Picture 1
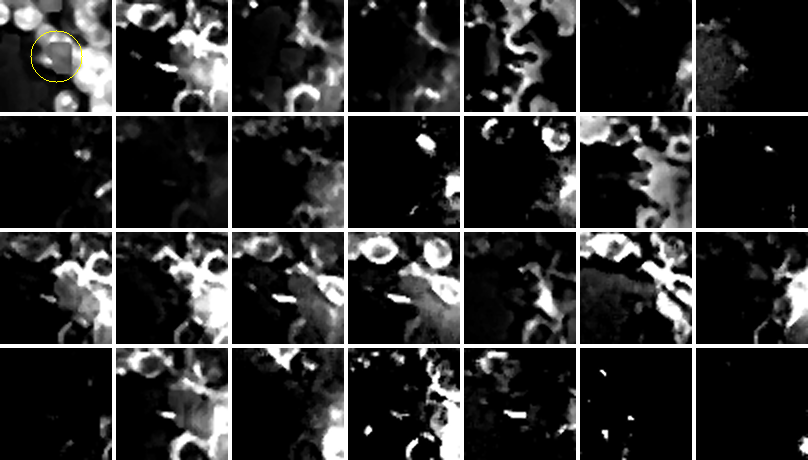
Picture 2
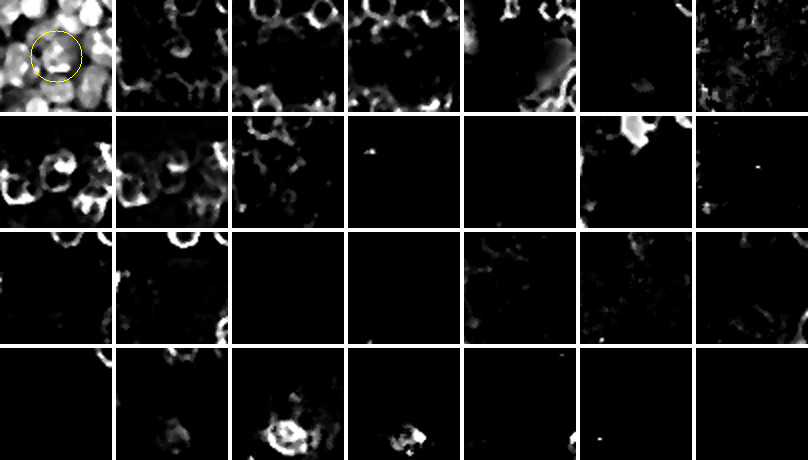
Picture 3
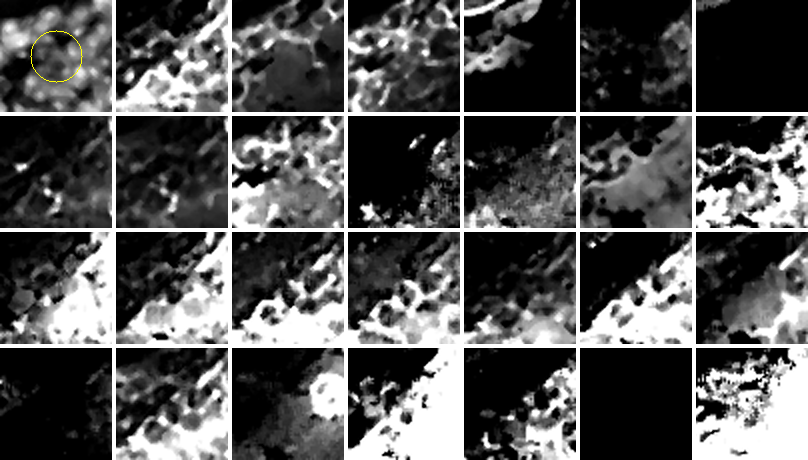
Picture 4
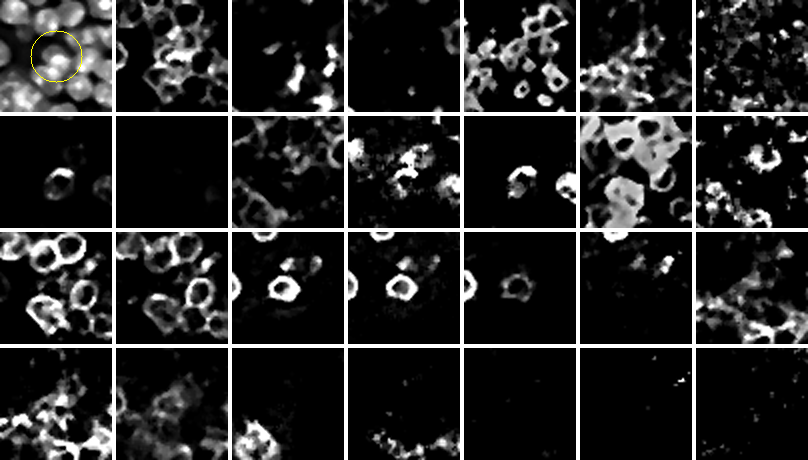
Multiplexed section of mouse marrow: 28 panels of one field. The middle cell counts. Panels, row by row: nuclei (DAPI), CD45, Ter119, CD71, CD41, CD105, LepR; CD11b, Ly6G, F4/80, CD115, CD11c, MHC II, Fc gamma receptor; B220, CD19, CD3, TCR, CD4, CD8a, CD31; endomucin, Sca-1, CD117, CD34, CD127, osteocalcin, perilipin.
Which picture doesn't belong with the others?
Picture 2.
